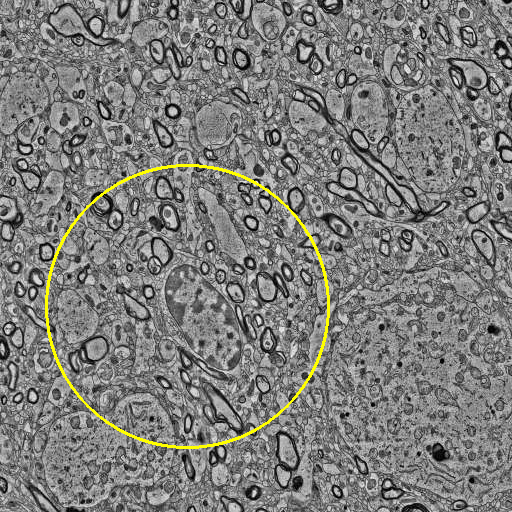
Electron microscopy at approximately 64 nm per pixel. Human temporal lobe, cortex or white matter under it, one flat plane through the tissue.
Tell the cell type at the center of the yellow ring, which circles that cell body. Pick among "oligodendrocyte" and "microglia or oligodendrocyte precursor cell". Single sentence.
The ring is centered on the body of a microglial cell or oligodendrocyte precursor cell.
